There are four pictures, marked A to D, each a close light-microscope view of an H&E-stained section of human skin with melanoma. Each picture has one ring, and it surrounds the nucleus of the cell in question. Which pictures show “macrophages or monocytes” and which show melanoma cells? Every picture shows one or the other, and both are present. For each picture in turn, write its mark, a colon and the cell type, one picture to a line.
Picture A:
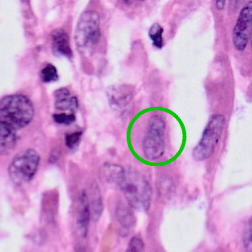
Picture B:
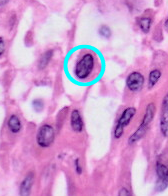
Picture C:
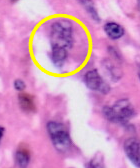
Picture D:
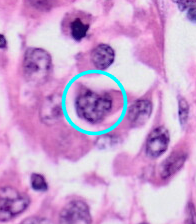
A: melanoma cell
B: macrophage or monocyte
C: melanoma cell
D: melanoma cell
